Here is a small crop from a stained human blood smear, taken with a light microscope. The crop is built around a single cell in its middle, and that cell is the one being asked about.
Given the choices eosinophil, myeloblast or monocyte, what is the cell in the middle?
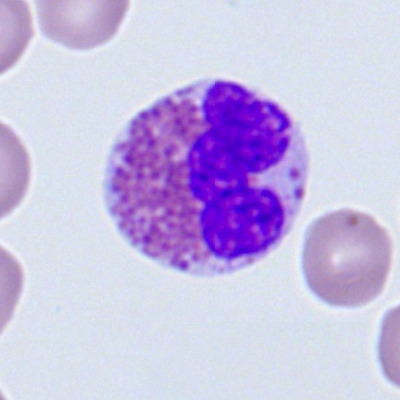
eosinophil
